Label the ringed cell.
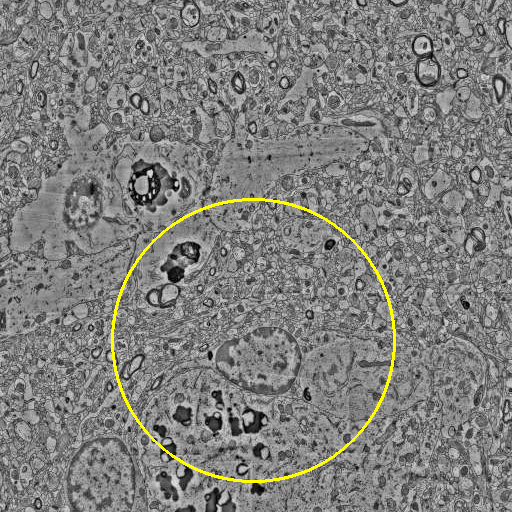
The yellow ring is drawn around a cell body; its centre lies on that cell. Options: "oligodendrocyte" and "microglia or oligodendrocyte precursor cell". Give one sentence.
The ringed cell is a microglial cell or oligodendrocyte precursor cell.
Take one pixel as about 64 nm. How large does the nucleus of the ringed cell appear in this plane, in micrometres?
In this plane, approximately 5 by 4 micrometers.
